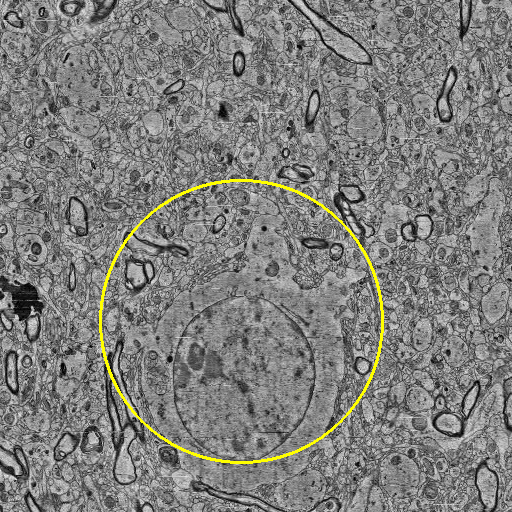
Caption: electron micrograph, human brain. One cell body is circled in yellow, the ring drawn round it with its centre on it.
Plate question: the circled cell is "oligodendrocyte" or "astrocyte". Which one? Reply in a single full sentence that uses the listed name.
The yellow ring on the plate is centred on an astrocyte, going by the listed names.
